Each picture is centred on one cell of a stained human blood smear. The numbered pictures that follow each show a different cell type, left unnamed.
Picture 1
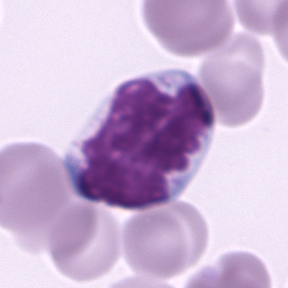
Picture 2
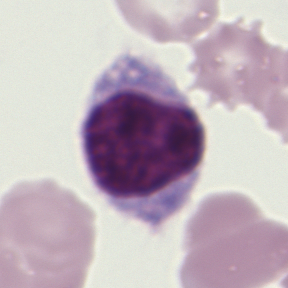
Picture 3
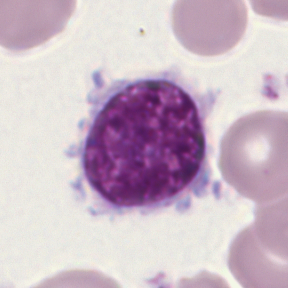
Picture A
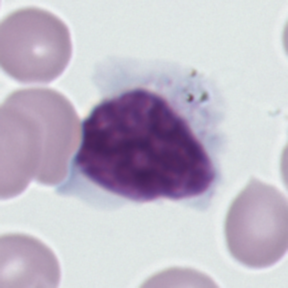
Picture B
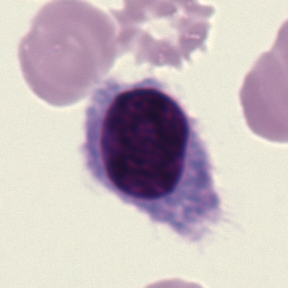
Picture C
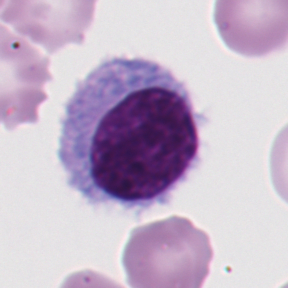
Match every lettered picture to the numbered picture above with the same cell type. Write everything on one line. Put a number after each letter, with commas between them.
A 1, B 2, C 2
